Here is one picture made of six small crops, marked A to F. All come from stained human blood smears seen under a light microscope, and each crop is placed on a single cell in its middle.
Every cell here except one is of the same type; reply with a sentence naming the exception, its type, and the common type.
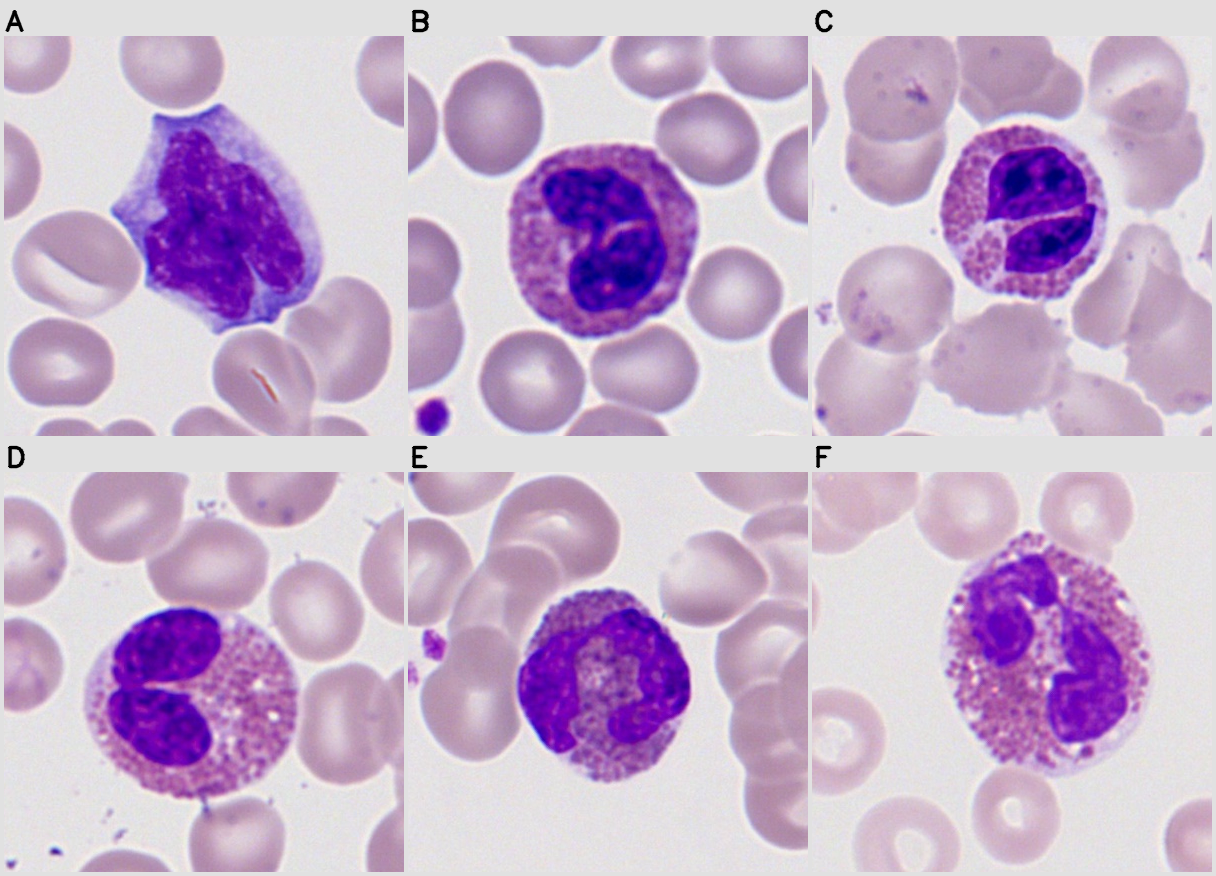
Crop A is the sole crop with a monocyte; the others all have eosinophils.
